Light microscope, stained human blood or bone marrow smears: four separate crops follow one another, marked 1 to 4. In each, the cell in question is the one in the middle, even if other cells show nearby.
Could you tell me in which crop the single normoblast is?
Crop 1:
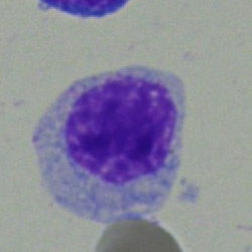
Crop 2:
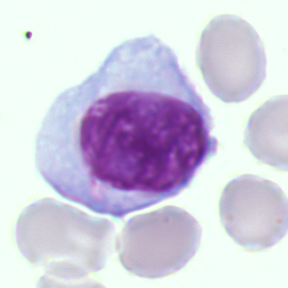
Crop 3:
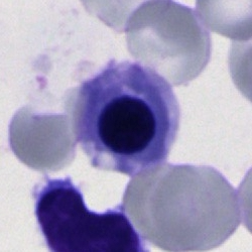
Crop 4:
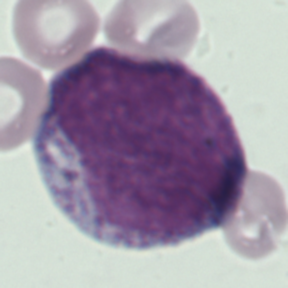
3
